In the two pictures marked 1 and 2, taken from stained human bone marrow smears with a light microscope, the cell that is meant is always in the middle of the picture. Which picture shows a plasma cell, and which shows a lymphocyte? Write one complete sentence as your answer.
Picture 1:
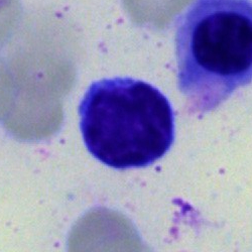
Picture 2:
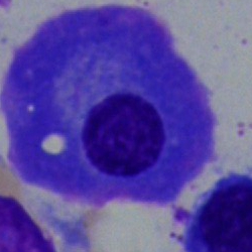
Picture 2 shows a plasma cell, while picture 1 shows a lymphocyte.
